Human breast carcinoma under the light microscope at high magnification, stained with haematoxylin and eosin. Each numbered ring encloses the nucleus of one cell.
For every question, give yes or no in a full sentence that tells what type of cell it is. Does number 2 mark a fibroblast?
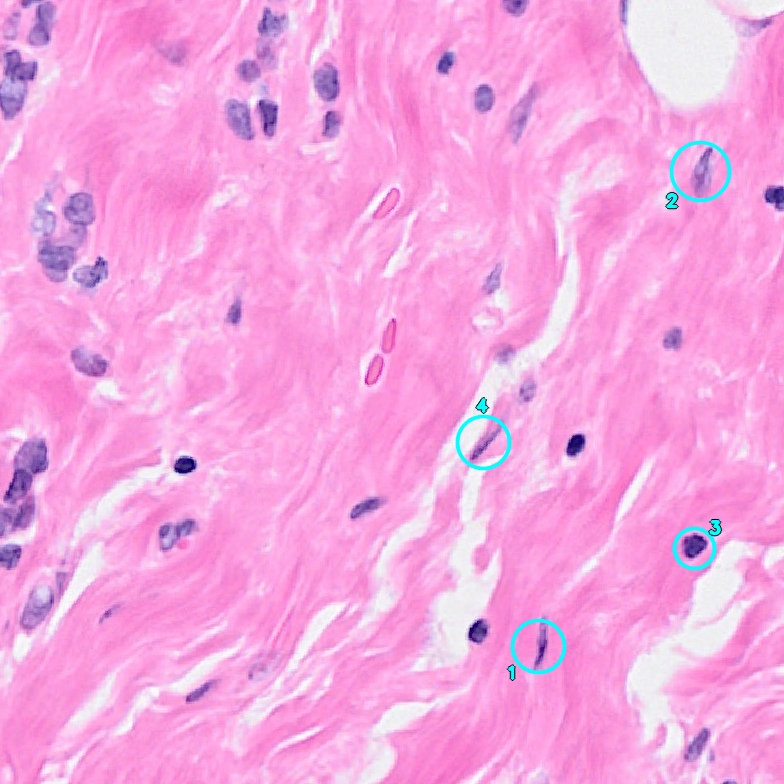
Yes, kindly take note: the cell numbered 2 is a fibroblast.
